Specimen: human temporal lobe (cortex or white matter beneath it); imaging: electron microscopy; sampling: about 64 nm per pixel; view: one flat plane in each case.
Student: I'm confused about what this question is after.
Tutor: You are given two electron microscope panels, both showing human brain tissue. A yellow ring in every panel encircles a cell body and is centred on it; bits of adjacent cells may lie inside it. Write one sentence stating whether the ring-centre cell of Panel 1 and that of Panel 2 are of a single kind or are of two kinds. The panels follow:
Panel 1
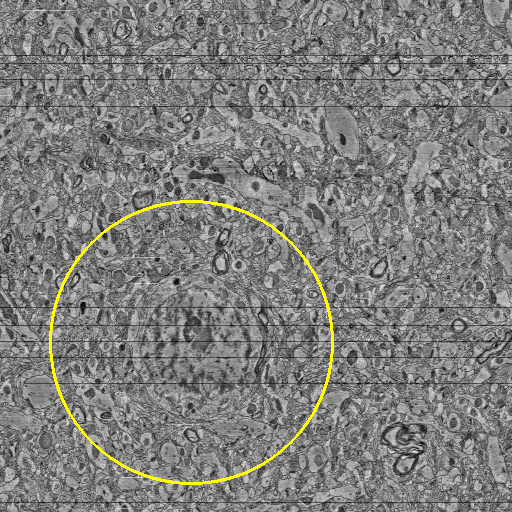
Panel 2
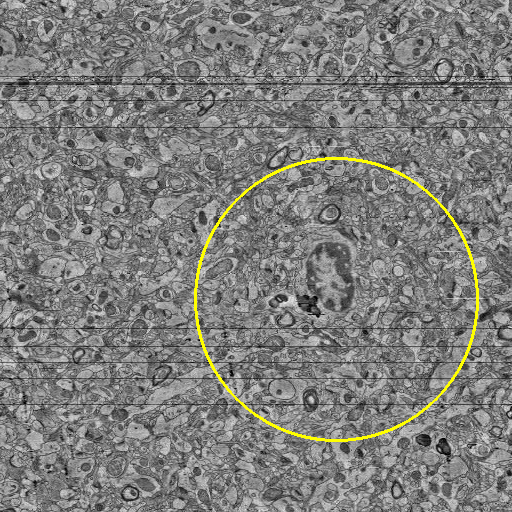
Here, the Panel 1 ring-centre cell and the Panel 2 ring-centre cell are of two kinds.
